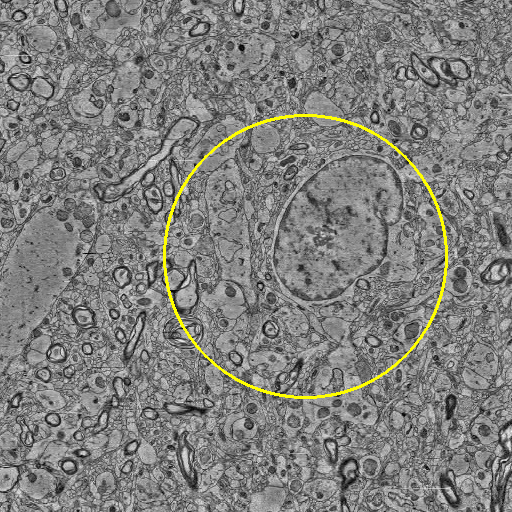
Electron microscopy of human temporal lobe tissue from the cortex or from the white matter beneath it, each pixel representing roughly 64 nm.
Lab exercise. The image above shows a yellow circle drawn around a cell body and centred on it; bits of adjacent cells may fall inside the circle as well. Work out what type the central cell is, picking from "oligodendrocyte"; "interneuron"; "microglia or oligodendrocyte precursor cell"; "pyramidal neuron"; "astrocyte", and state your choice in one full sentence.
In the image above, the cell at the centre of the yellow circle is a microglial cell or oligodendrocyte precursor cell.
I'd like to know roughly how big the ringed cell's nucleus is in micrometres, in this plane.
The nucleus measures about 10 by 7 micrometres in this plane.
